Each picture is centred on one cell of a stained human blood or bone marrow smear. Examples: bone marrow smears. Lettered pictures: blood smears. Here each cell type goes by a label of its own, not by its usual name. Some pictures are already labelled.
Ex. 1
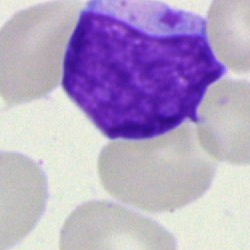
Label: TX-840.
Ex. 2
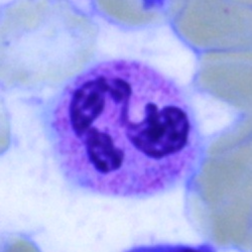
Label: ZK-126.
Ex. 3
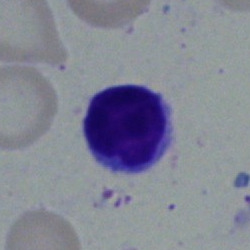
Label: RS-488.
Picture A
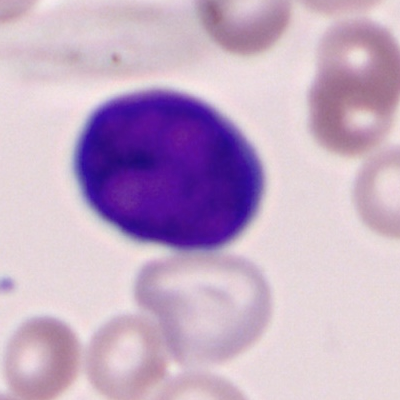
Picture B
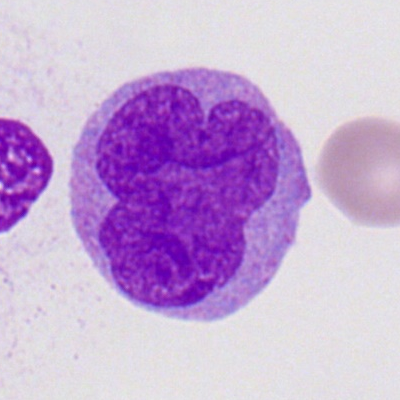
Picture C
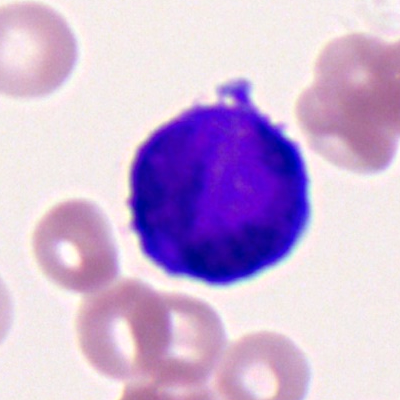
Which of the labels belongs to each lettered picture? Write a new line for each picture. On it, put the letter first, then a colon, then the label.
A: TX-840.
B: TX-840.
C: TX-840.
